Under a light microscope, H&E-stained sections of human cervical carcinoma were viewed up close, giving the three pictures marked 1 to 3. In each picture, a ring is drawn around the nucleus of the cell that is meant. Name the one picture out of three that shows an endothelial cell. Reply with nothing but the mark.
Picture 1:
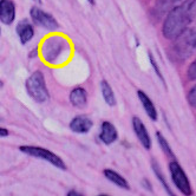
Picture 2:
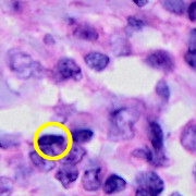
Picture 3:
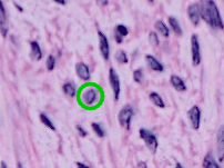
1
